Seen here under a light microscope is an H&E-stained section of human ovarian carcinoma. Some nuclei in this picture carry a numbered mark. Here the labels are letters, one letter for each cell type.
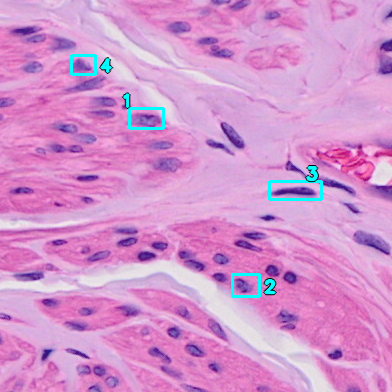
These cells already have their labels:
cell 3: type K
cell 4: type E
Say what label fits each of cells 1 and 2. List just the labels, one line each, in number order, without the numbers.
type E
type E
